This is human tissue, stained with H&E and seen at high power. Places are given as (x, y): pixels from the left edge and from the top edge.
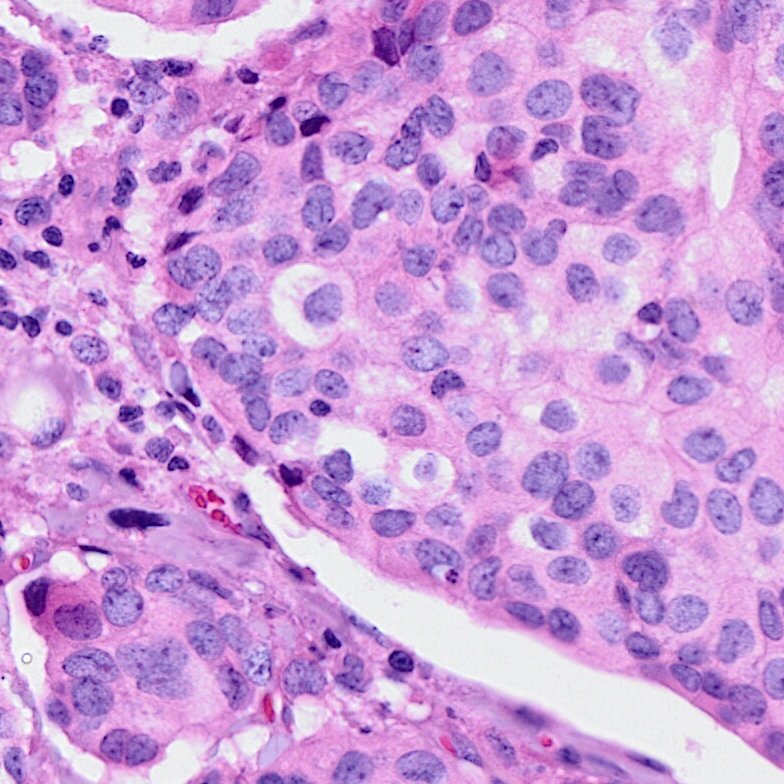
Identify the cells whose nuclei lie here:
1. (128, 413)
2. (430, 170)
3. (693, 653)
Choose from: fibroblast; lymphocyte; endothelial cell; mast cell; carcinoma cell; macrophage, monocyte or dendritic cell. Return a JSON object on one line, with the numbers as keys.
{"1": "lymphocyte", "2": "carcinoma cell", "3": "carcinoma cell"}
